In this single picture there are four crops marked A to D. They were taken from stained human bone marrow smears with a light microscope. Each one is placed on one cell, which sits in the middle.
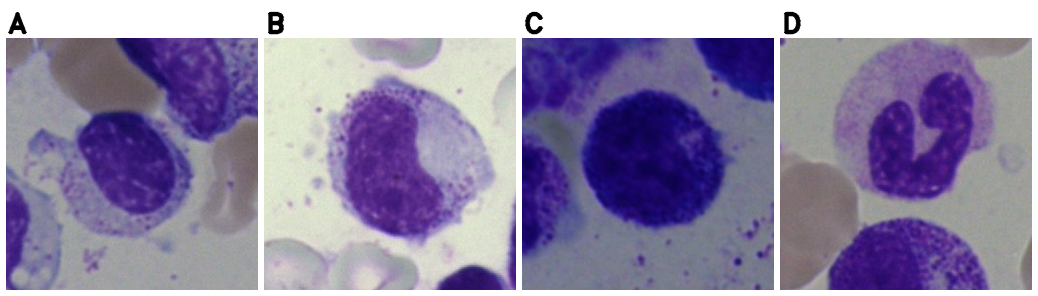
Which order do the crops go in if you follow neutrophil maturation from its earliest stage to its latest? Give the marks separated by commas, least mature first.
C, A, B, D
